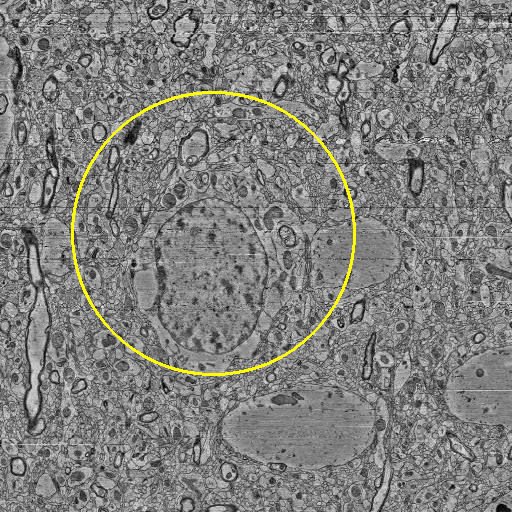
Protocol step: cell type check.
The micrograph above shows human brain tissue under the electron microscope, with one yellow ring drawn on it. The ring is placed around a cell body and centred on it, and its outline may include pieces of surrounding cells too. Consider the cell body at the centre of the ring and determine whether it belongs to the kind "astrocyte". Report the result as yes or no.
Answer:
yes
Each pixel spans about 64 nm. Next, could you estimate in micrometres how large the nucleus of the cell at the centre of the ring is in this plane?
The nucleus of the ringed cell is approximately 10 by 7 micrometres in this plane.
